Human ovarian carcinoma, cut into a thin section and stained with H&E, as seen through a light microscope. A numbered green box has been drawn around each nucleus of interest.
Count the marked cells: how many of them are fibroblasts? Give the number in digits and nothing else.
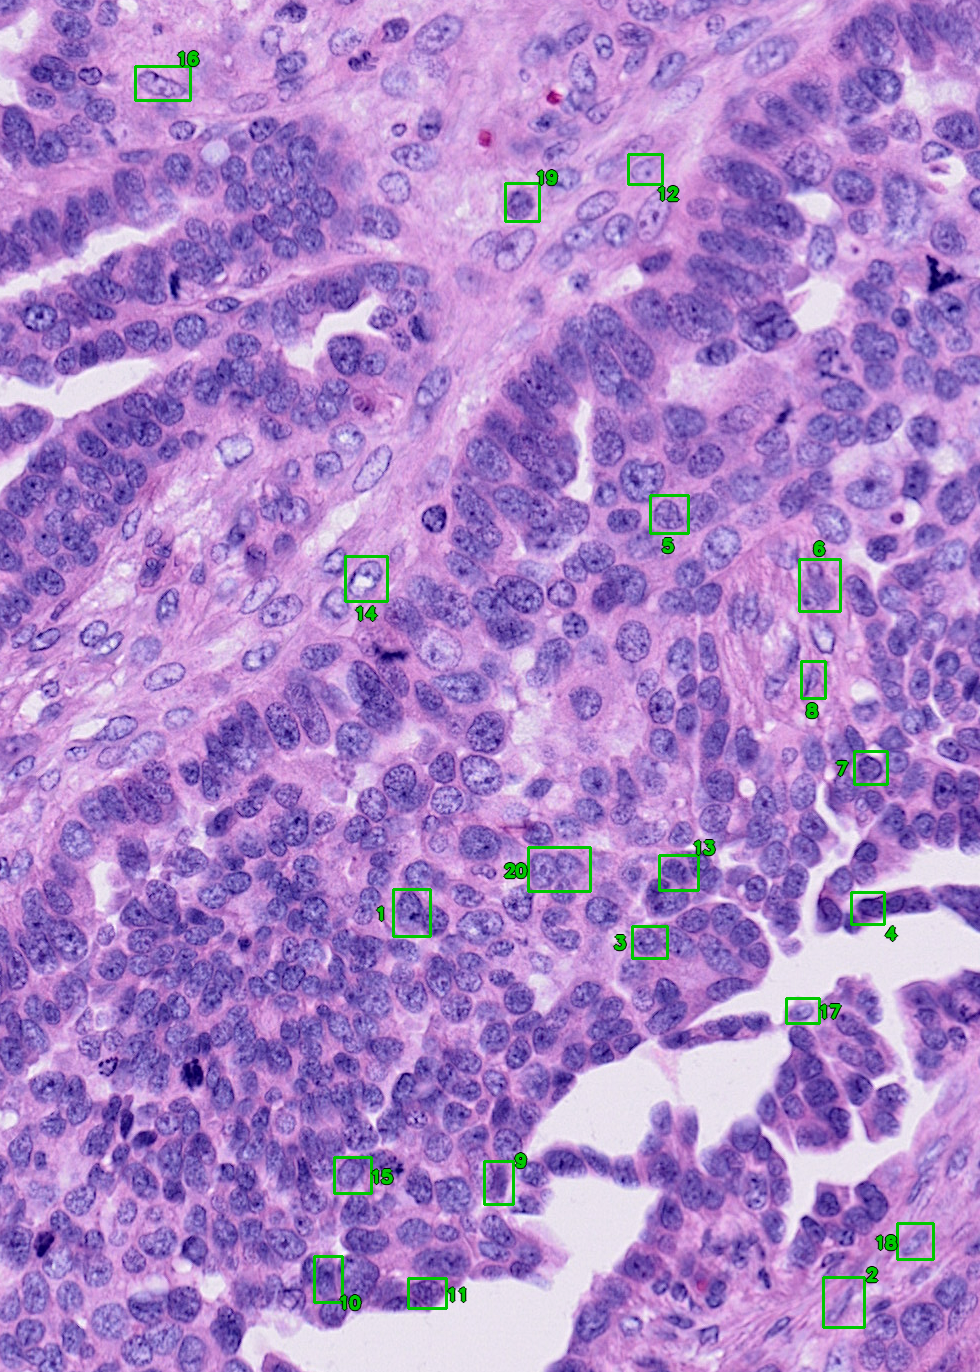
7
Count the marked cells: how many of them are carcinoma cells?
11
